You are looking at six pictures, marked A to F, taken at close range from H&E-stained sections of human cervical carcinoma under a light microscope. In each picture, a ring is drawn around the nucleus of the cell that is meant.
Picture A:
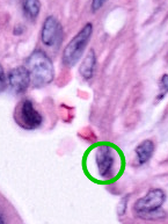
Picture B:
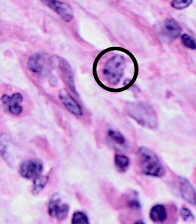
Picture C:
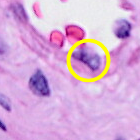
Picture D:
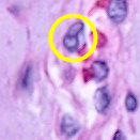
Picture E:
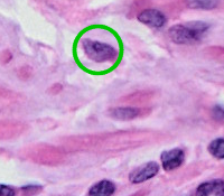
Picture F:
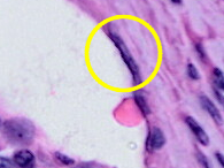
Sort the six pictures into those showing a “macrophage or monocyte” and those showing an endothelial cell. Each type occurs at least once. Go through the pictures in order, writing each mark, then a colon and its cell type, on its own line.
A: endothelial cell
B: macrophage or monocyte
C: endothelial cell
D: endothelial cell
E: macrophage or monocyte
F: endothelial cell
